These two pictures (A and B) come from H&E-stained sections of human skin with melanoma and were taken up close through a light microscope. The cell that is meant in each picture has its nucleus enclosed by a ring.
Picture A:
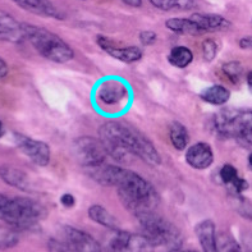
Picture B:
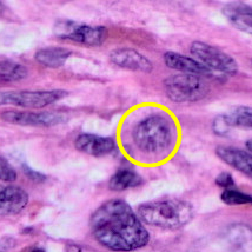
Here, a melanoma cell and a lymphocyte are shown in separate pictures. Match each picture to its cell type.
A: lymphocyte
B: melanoma cell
